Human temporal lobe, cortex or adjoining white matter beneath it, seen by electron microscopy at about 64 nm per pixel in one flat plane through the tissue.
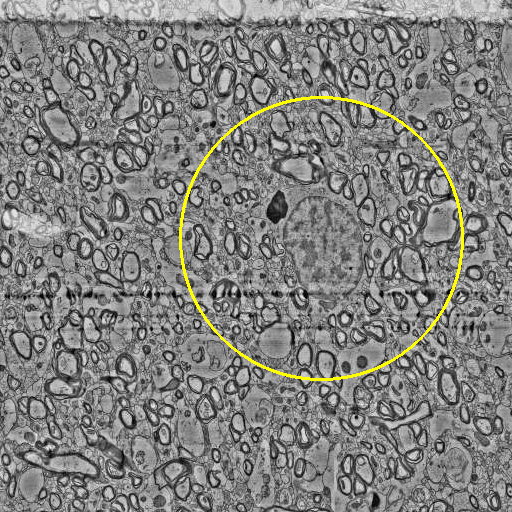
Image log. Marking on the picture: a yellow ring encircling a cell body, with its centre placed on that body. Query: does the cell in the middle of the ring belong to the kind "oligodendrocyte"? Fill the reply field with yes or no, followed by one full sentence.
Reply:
Yes, the cell at the centre of the yellow ring in this picture belongs to that kind.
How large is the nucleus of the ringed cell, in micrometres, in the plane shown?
About 7 by 5 micrometers for the nucleus, in this plane.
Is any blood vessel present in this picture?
No, there is none.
